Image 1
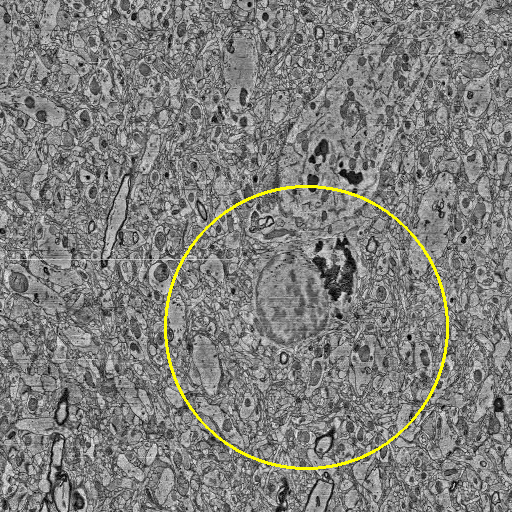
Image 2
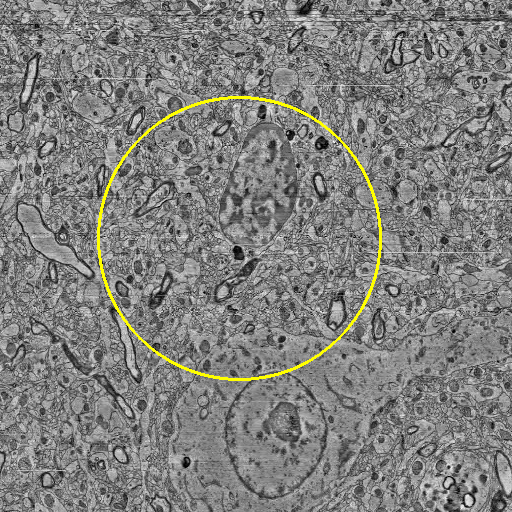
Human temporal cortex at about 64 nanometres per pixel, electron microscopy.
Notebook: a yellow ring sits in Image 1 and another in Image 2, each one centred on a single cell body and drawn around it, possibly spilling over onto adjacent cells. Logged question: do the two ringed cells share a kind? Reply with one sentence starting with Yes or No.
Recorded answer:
No, the centre cells inside the rings of Image 1 and Image 2 are of two kinds.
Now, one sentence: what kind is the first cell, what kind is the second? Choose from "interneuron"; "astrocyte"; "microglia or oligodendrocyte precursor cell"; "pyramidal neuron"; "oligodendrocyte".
The first picture has an oligodendrocyte at its ring centre, and the second has a microglial cell or oligodendrocyte precursor cell.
